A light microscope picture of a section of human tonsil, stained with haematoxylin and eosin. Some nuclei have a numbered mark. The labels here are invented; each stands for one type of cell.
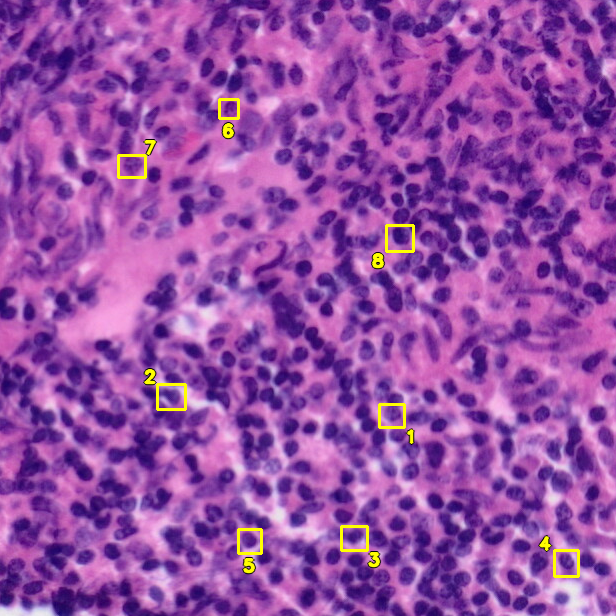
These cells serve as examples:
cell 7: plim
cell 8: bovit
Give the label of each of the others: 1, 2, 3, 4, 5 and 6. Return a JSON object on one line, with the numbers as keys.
{"1": "bovit", "2": "bovit", "3": "bovit", "4": "plim", "5": "bovit", "6": "plim"}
